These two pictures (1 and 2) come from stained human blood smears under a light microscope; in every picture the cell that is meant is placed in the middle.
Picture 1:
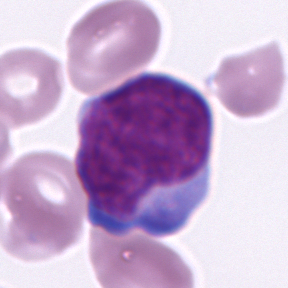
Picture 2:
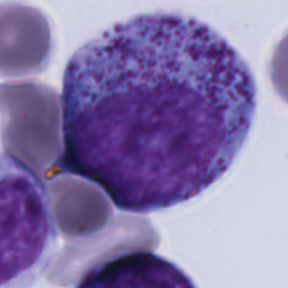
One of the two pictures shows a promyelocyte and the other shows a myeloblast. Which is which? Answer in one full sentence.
Picture 2 shows a promyelocyte, while picture 1 shows a myeloblast.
